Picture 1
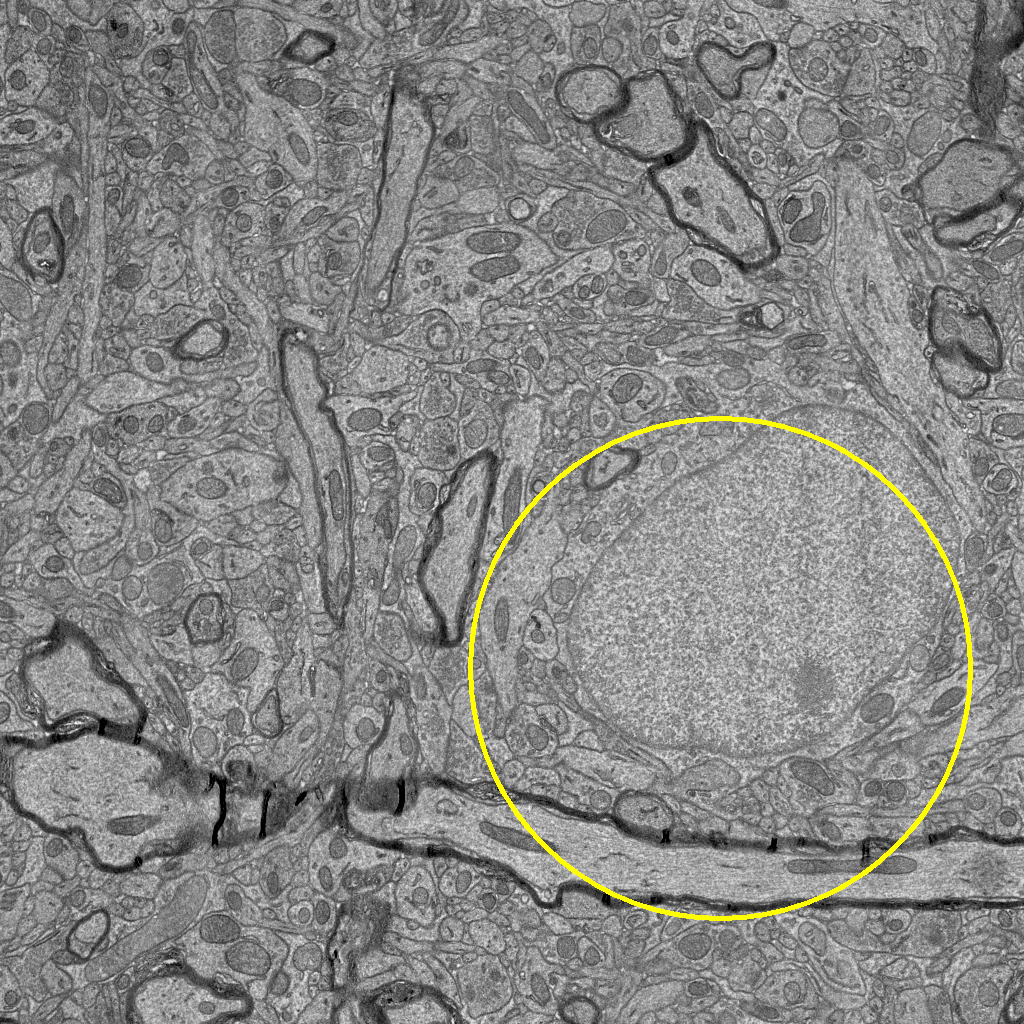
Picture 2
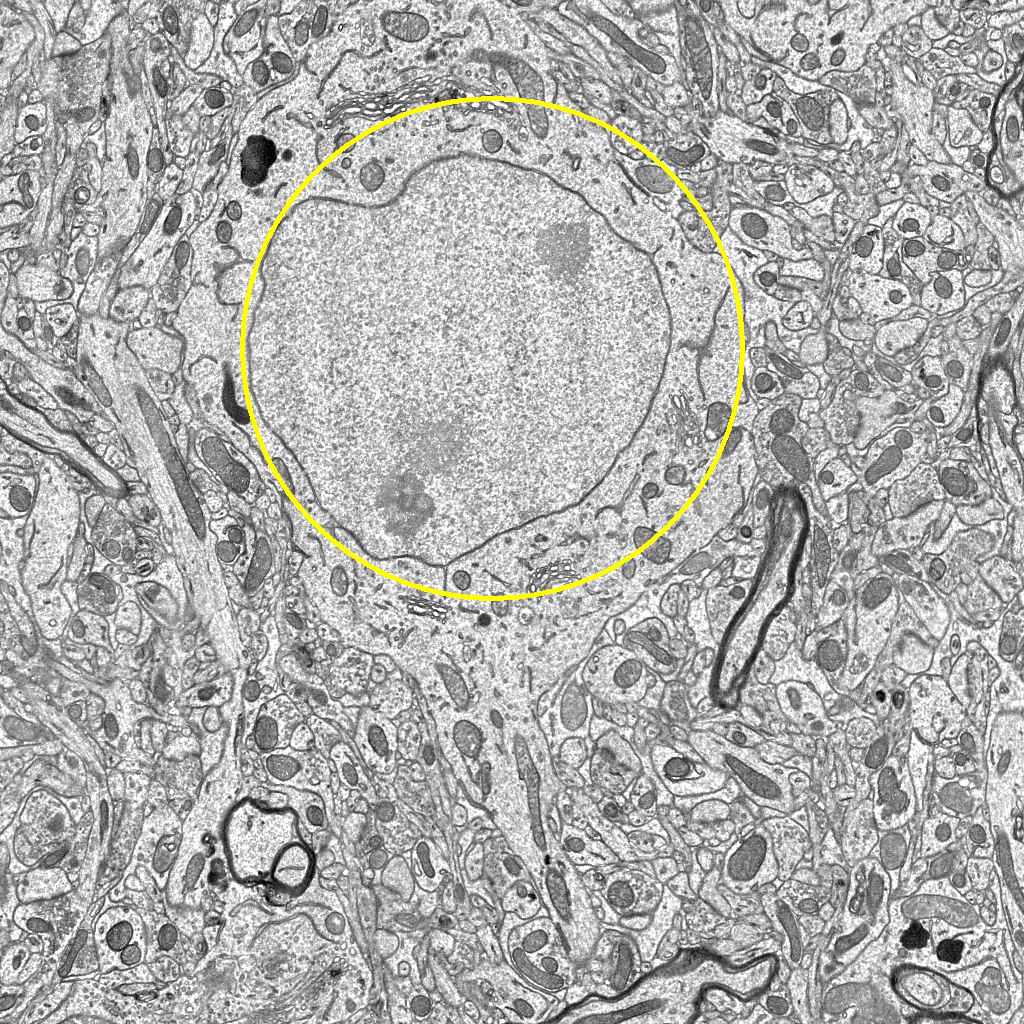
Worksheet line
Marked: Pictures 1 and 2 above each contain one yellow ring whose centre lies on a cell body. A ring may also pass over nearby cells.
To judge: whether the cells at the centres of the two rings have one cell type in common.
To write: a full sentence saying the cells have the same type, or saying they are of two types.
The cells at the centres of the rings in Picture 1 and Picture 2 are of two types.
